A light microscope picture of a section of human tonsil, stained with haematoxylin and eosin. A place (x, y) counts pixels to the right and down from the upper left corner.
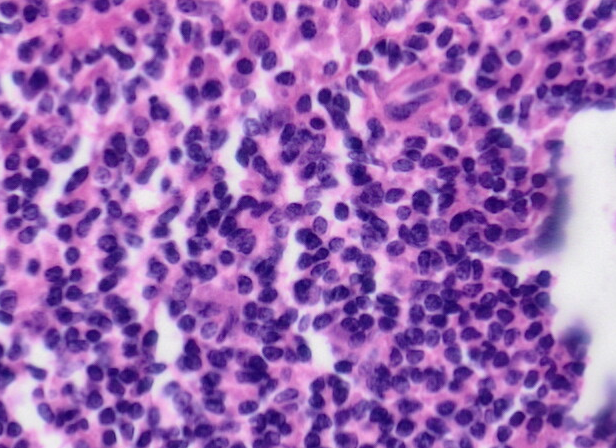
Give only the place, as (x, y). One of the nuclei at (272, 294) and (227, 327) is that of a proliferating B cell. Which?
(227, 327)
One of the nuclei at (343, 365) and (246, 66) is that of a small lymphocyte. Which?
(343, 365)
